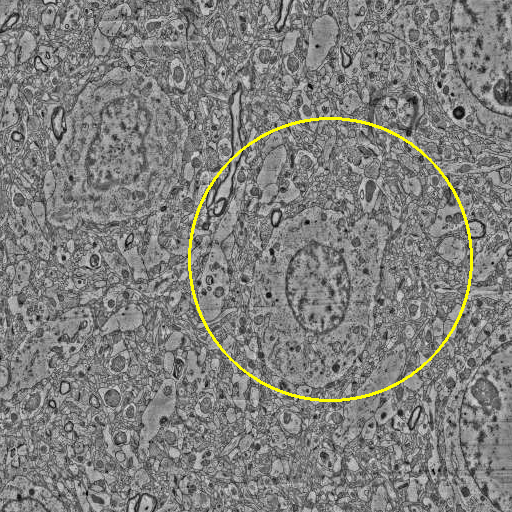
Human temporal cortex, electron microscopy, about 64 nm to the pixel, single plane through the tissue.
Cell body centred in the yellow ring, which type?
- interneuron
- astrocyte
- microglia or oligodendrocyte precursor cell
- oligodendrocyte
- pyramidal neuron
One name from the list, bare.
pyramidal neuron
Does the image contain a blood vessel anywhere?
No, no vessel appears in the picture.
